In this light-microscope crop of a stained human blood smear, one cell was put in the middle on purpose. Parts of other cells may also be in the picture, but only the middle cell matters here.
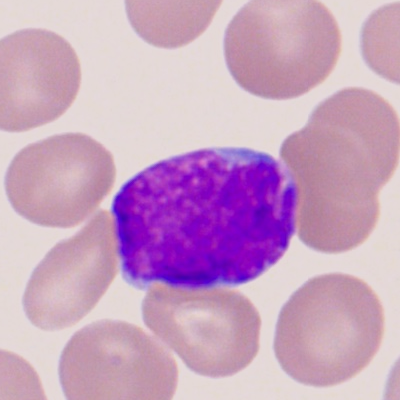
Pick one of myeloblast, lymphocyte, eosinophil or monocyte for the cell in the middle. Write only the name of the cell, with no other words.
myeloblast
